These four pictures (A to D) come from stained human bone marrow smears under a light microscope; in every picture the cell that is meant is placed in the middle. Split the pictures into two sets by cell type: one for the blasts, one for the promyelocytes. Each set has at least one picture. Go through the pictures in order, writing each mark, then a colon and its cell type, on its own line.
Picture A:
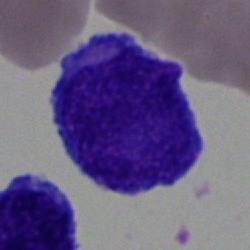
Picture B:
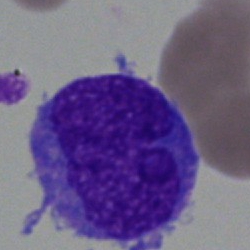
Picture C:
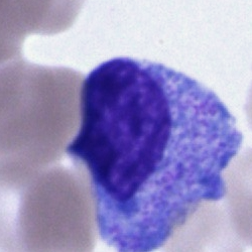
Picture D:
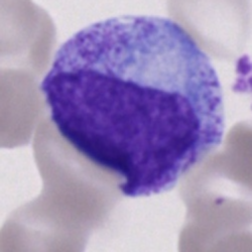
A: blast
B: blast
C: promyelocyte
D: promyelocyte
